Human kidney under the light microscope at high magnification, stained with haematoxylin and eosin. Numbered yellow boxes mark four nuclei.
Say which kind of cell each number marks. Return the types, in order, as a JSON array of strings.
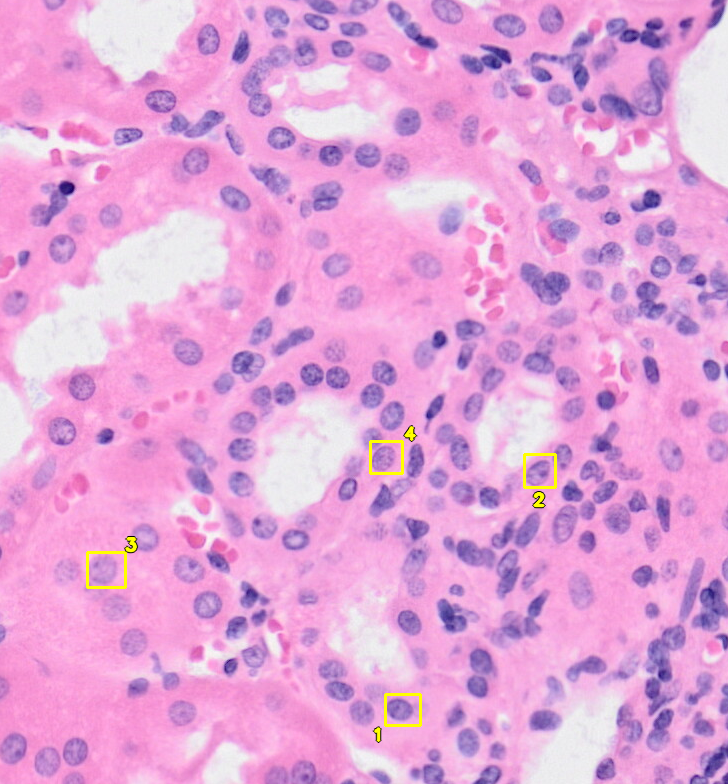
["collecting duct cell", "collecting duct cell", "proximal tubule cell", "collecting duct cell"]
